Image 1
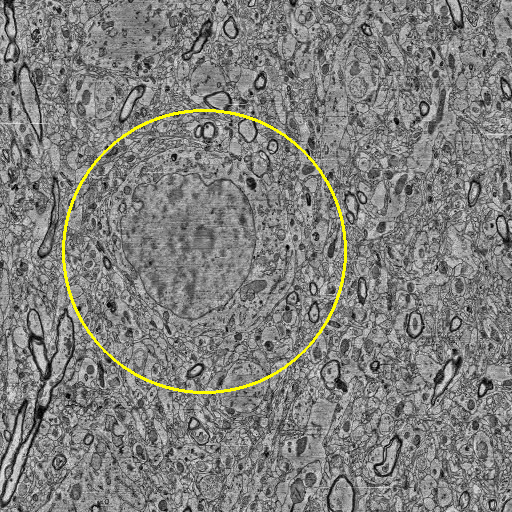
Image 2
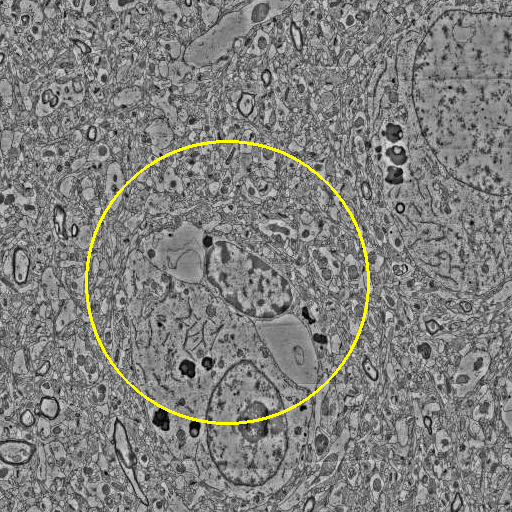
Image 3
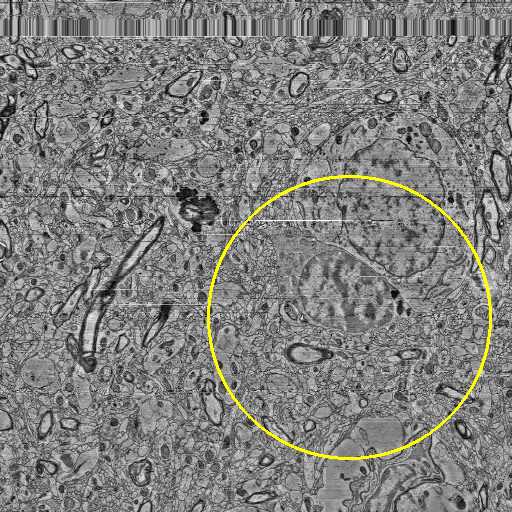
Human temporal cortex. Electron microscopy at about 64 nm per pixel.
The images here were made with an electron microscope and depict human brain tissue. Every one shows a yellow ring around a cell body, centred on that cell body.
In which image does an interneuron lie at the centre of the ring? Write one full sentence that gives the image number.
My answer is image 1, where the asked-for cell sits at the centre of the ring.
